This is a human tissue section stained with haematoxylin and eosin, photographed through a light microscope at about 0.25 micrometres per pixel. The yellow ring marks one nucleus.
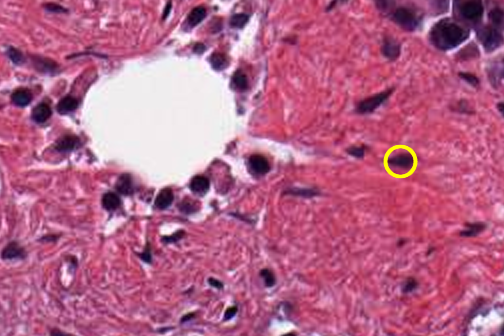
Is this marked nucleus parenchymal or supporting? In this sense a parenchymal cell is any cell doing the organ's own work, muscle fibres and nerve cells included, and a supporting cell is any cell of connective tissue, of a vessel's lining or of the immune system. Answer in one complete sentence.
Located within a supporting cell is the nucleus that has been marked.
